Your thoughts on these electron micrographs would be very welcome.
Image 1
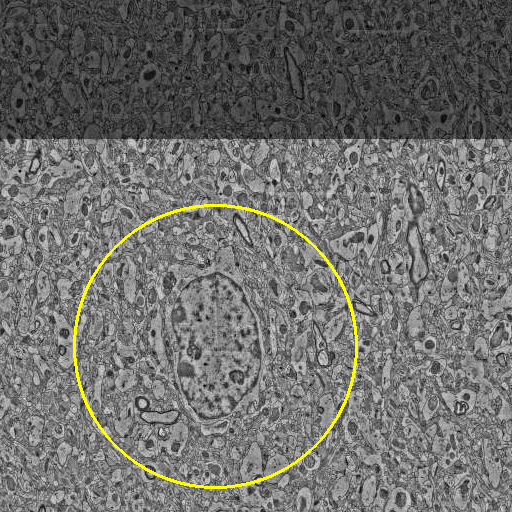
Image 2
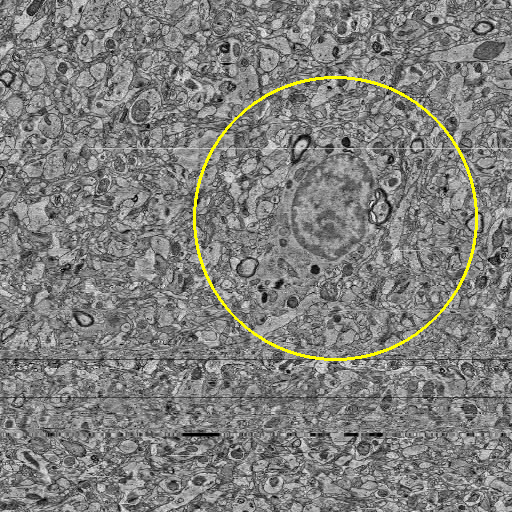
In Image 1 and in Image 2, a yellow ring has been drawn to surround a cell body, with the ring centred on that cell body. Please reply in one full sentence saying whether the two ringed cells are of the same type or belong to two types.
The ringed cells in Image 1 and Image 2 belong to two types.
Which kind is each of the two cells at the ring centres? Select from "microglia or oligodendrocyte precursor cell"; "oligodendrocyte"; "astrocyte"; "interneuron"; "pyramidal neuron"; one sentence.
The cell at the centre of the ring is a microglial cell or oligodendrocyte precursor cell in the first picture and an oligodendrocyte in the second.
